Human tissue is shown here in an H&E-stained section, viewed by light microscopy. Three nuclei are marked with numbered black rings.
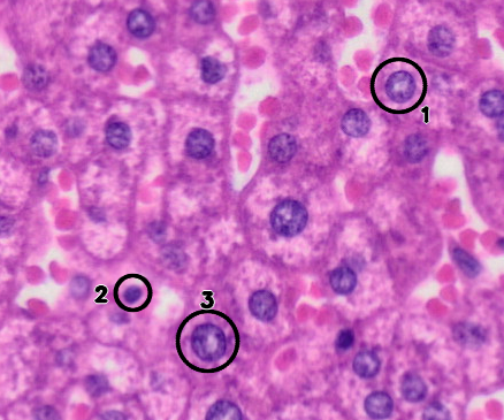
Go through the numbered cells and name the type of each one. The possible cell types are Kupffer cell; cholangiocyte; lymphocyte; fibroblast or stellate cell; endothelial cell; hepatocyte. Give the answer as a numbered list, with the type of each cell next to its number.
1. hepatocyte
2. lymphocyte
3. hepatocyte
